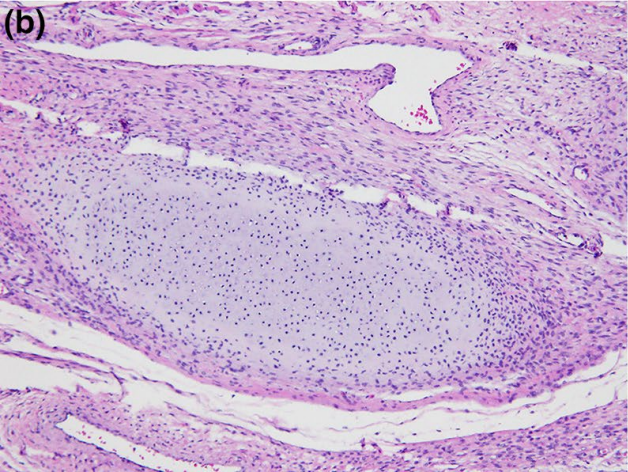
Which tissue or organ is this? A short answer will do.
Cartilage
